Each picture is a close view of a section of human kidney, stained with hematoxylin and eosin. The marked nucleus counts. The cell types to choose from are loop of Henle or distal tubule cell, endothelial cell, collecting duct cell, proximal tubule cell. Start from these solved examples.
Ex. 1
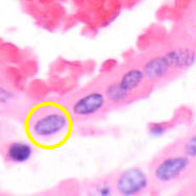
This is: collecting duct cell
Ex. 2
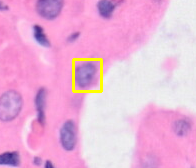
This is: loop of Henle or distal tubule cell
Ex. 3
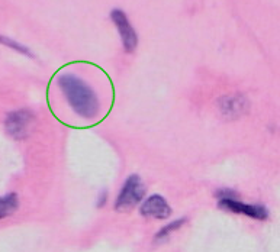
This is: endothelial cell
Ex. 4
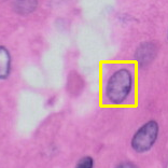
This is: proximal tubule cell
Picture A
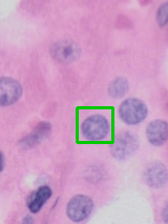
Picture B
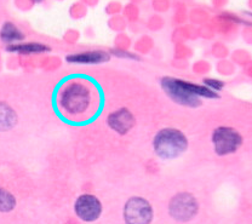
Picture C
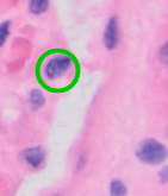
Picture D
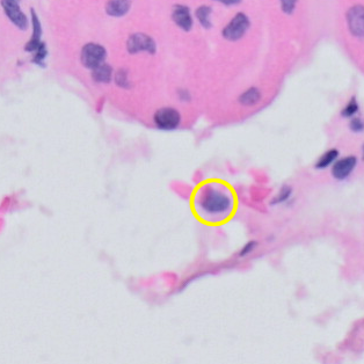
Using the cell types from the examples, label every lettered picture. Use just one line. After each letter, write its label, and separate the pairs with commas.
A collecting duct cell, B proximal tubule cell, C endothelial cell, D endothelial cell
